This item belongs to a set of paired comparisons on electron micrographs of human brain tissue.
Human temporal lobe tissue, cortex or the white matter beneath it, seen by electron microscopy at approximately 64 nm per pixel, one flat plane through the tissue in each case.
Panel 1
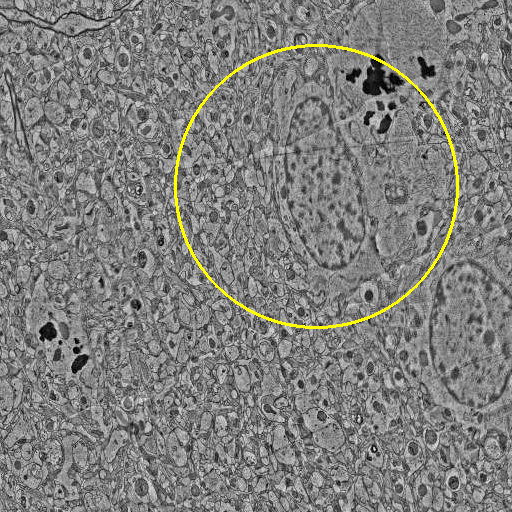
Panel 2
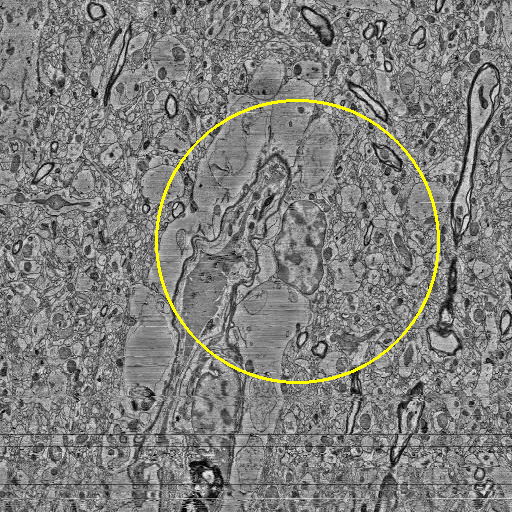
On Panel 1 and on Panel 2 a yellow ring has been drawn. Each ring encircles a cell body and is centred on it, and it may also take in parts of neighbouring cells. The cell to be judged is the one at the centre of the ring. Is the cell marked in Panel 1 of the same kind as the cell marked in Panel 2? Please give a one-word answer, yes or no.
no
